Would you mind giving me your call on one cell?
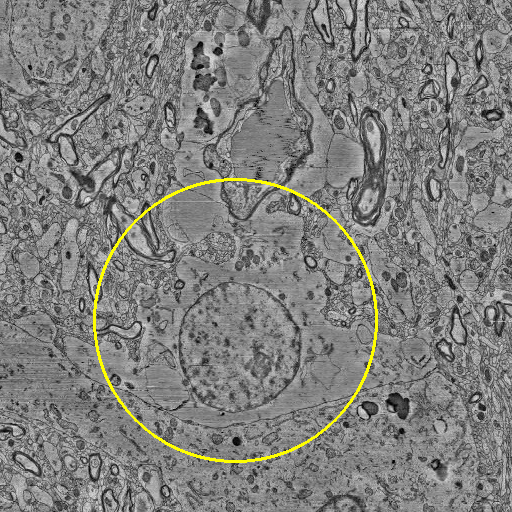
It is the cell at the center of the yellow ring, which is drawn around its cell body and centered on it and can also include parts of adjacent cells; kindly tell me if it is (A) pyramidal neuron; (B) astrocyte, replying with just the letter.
B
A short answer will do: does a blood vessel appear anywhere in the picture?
Yes, one appears.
